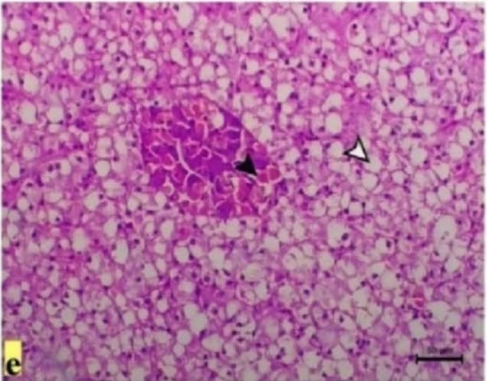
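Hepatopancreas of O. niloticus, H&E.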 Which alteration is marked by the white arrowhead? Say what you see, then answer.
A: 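Many large, round, clear vacuoles fill the tissue. Only thin pink strands of cytoplasm remain between the vacuoles.
Hence: severe hepatic vacuolation.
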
